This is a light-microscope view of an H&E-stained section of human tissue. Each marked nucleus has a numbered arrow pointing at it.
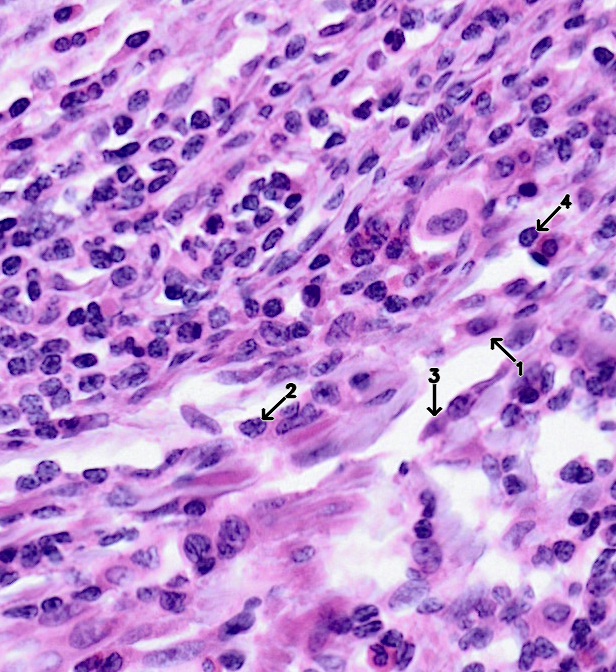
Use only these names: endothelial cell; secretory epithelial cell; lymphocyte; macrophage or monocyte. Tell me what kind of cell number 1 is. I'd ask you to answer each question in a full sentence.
Belonging to a macrophage or monocyte is the nucleus that carries the number 1.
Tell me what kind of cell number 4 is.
In this section, the cell numbered 4 is a lymphocyte.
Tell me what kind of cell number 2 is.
Regarding cell 2, this one is a lymphocyte.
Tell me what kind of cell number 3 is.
The numeral 3 marks an endothelial cell in this section.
